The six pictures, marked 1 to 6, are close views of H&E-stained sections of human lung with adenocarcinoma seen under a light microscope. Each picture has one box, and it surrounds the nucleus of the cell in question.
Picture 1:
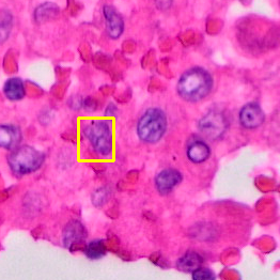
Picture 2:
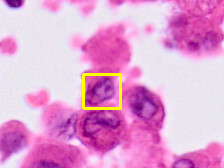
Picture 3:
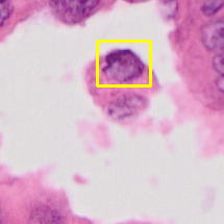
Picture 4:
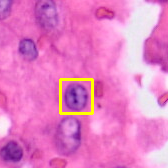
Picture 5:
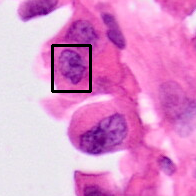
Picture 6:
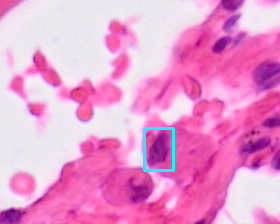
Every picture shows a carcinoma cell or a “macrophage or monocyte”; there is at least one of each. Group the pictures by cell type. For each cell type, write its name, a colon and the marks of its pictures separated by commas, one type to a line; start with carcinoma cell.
carcinoma cell: 3, 5
macrophage or monocyte: 1, 2, 4, 6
